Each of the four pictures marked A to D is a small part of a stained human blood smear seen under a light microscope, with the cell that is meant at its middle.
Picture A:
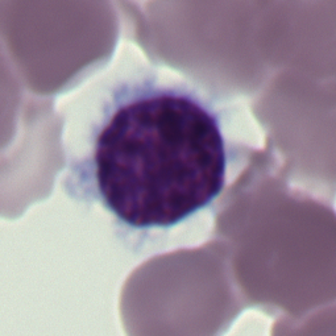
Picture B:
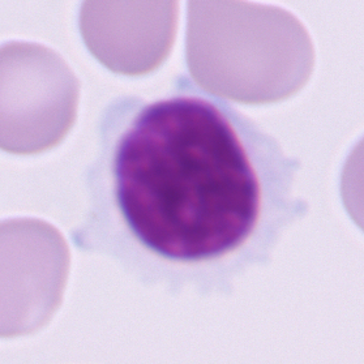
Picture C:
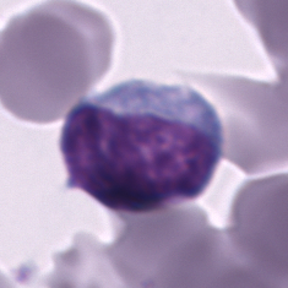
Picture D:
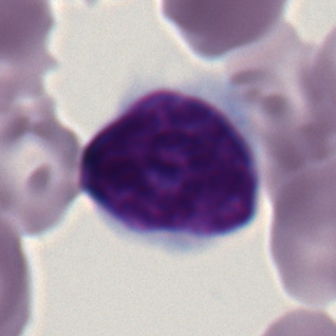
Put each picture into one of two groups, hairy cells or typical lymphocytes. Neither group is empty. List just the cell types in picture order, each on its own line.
hairy cell
hairy cell
typical lymphocyte
hairy cell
